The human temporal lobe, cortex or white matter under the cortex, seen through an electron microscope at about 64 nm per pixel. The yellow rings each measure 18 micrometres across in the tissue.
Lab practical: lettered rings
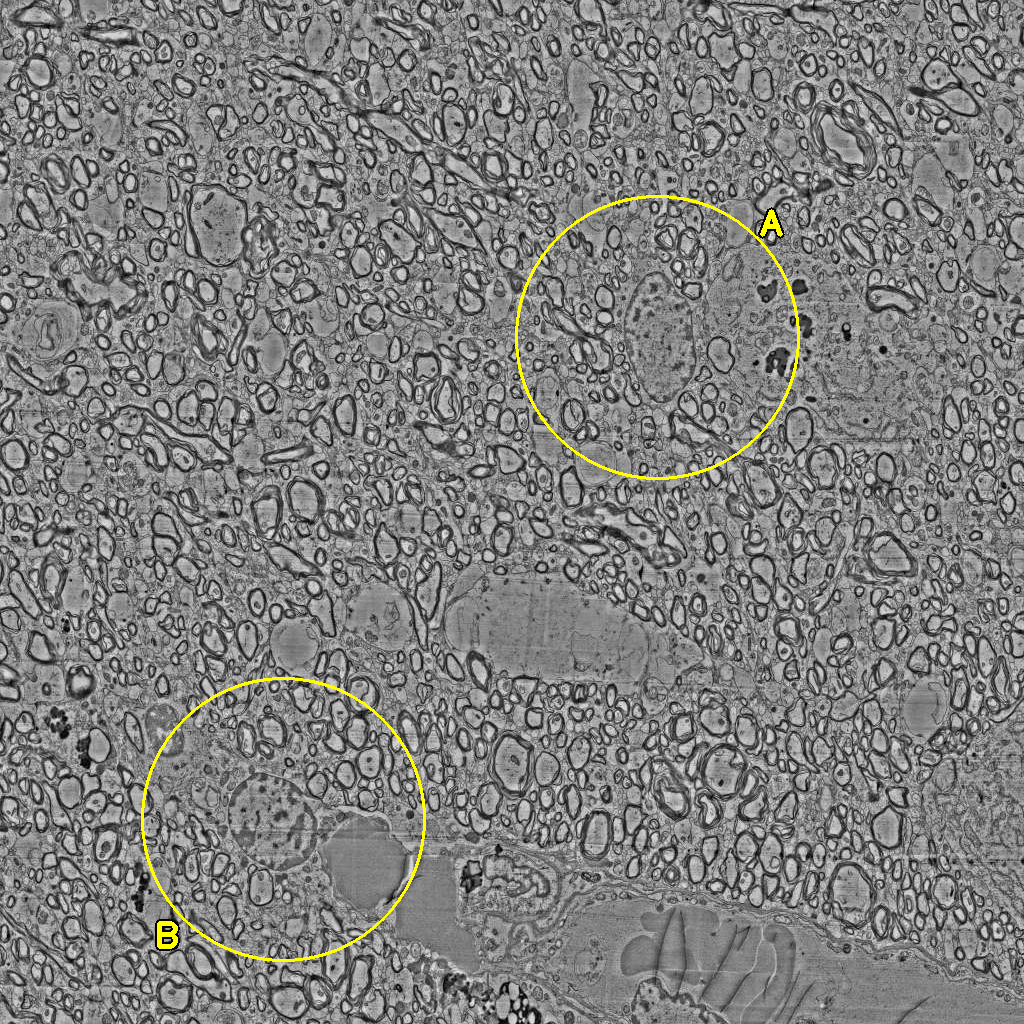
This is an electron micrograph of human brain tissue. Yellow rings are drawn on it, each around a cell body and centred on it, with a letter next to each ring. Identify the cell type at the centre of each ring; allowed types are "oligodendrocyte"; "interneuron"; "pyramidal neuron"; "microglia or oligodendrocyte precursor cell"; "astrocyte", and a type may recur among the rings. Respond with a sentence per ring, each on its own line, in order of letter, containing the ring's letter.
Lying at the centre of ring A is an oligodendrocyte.
Lying at the centre of ring B is a microglial cell or oligodendrocyte precursor cell.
